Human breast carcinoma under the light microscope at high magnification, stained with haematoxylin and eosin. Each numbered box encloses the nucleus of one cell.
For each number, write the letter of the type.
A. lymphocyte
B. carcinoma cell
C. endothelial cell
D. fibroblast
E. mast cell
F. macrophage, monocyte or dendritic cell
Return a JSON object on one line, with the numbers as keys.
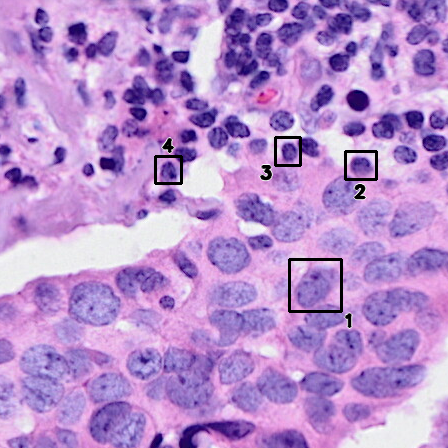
{"1": "B", "2": "A", "3": "A", "4": "A"}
